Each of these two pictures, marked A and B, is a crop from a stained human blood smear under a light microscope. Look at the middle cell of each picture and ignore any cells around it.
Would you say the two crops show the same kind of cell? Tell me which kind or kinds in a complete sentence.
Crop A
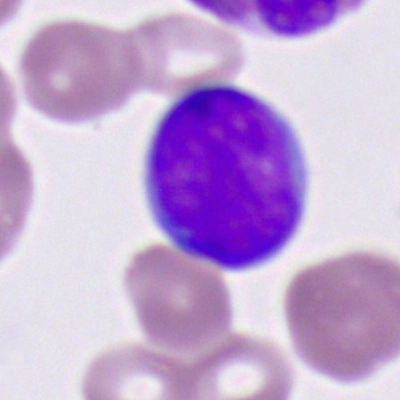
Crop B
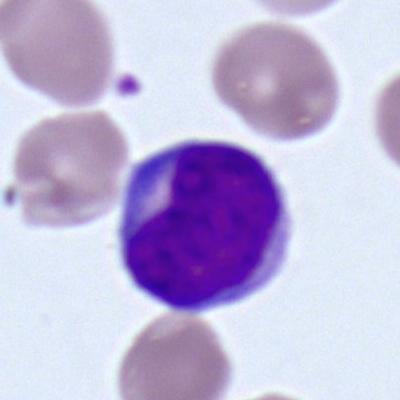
Yes, the cells at the centres of the two crops are myeloblasts.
